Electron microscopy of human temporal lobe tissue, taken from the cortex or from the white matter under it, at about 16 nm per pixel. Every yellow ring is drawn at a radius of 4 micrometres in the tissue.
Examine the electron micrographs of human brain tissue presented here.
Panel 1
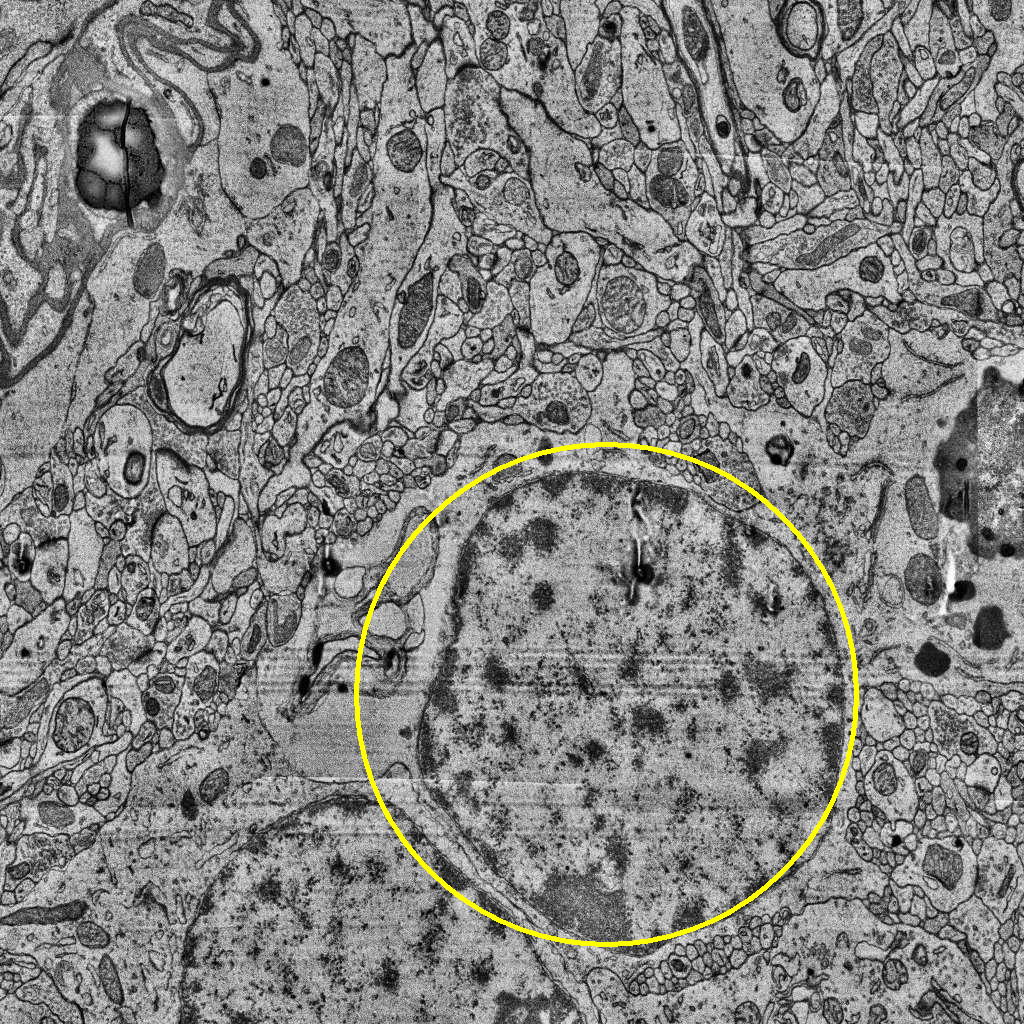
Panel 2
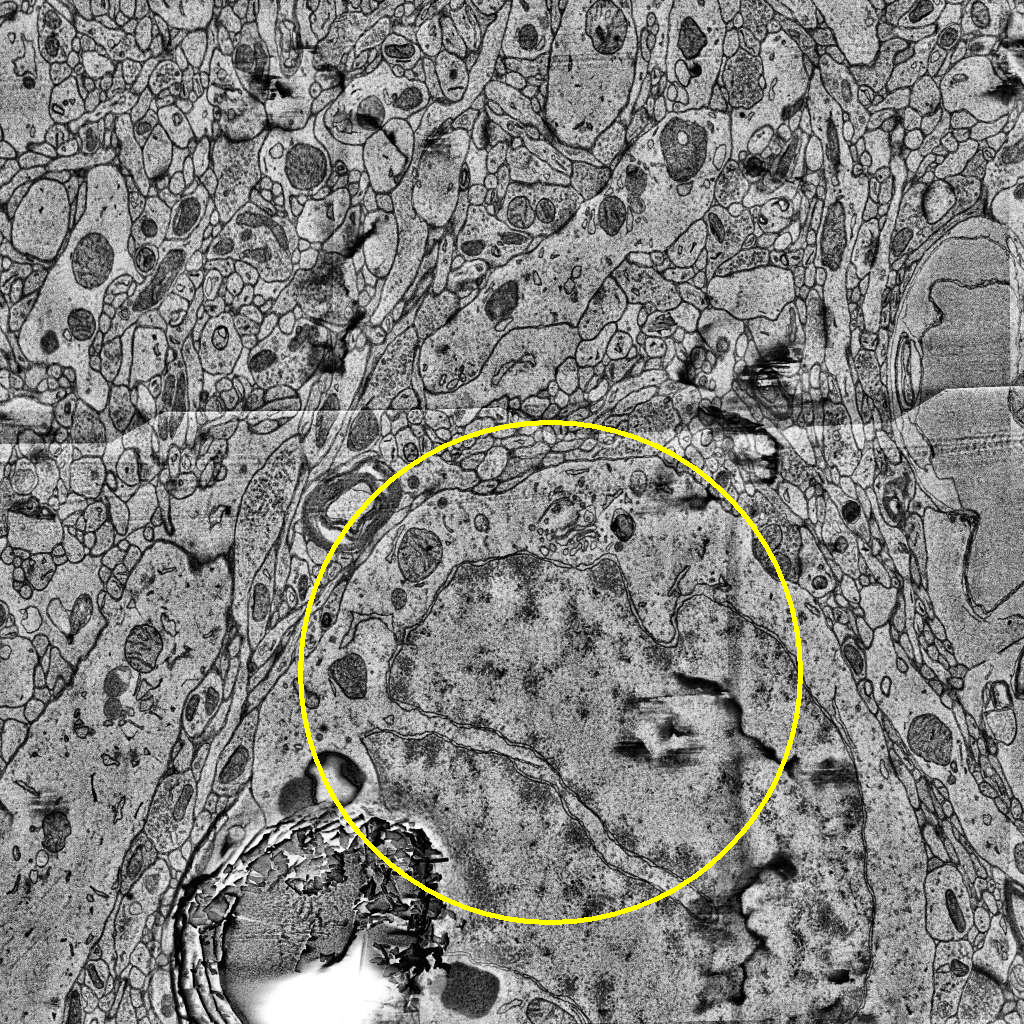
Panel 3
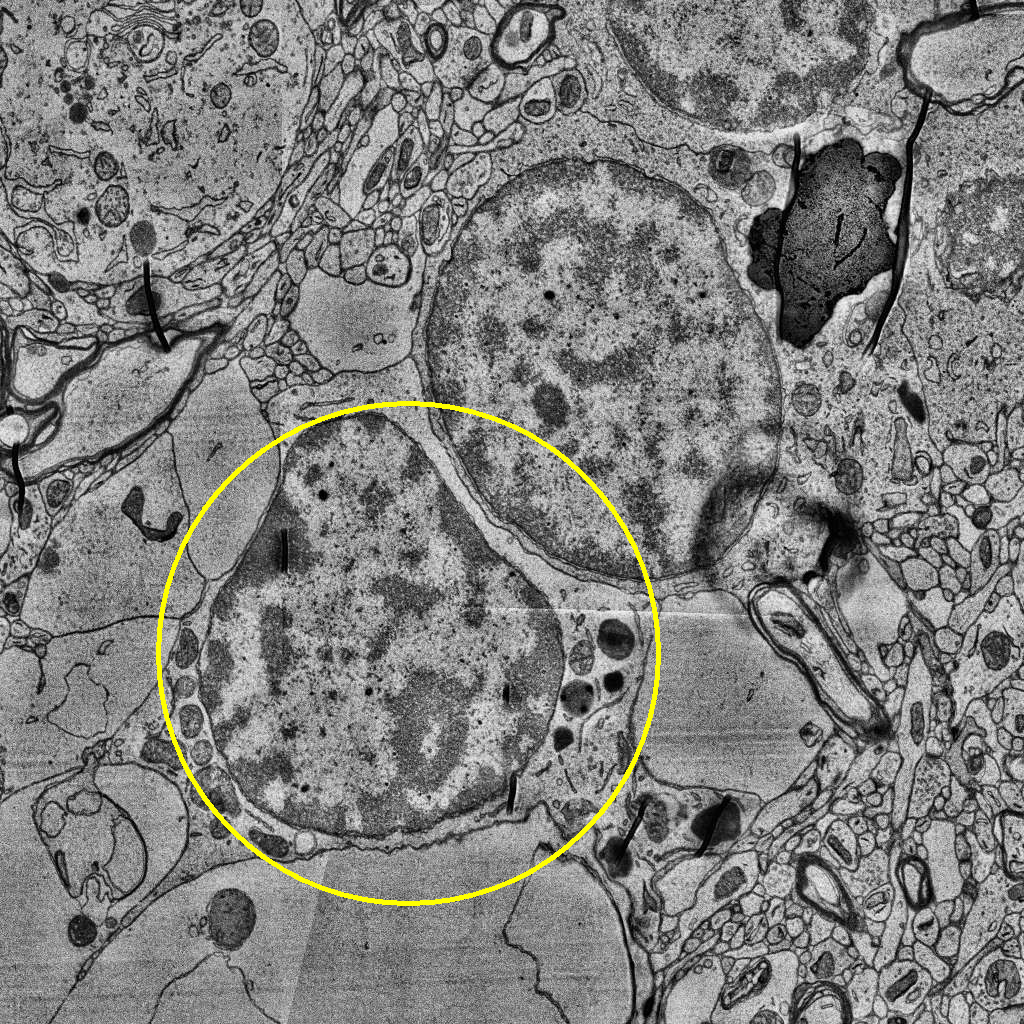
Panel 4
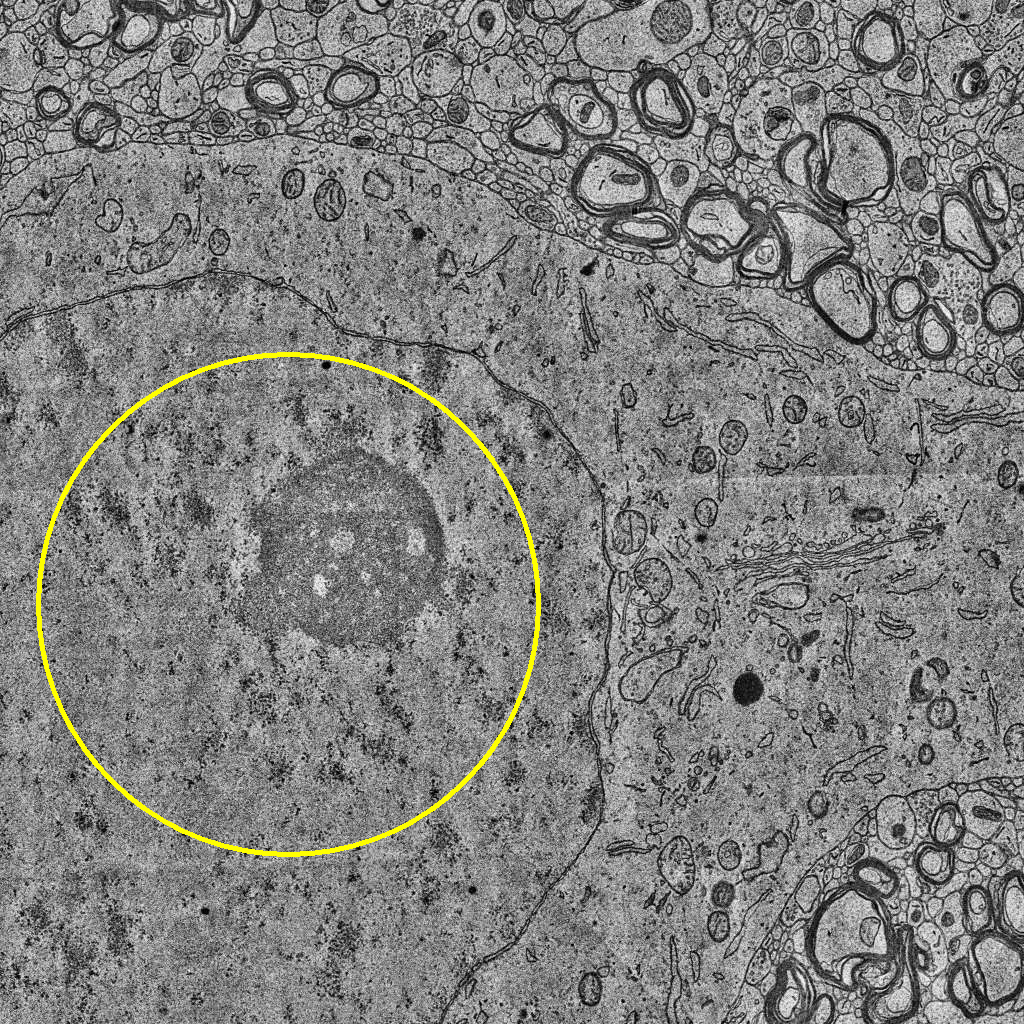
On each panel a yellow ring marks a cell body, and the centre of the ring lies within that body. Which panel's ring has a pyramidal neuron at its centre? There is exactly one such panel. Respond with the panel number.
4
